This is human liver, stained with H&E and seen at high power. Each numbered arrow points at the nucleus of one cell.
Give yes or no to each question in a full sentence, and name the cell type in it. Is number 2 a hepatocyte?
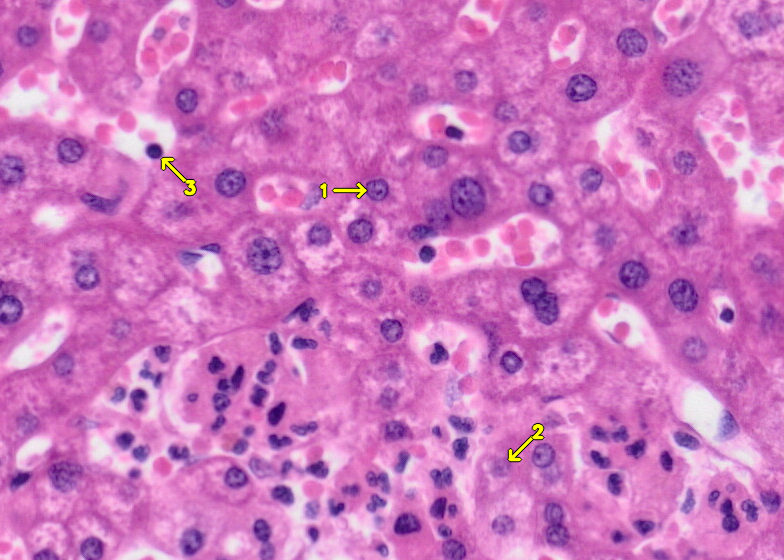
Yes, the cell with its nucleus marked 2 is a hepatocyte.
